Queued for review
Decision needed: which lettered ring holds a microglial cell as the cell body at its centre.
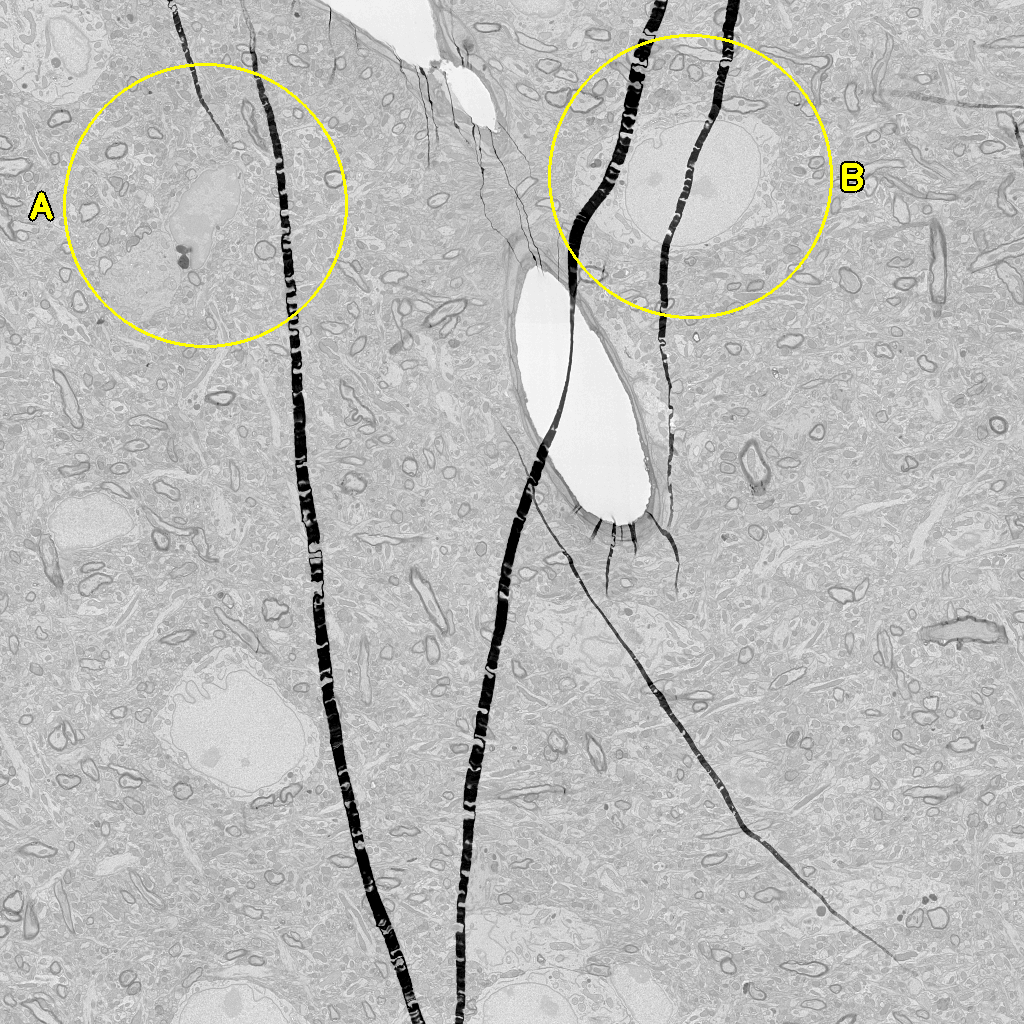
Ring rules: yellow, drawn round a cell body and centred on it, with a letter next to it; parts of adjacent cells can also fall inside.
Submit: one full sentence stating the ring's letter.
The cell asked for is the one at the centre of ring A in the picture.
